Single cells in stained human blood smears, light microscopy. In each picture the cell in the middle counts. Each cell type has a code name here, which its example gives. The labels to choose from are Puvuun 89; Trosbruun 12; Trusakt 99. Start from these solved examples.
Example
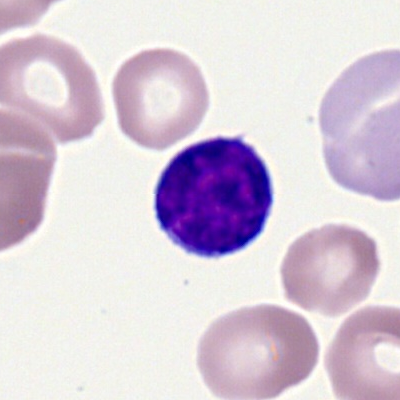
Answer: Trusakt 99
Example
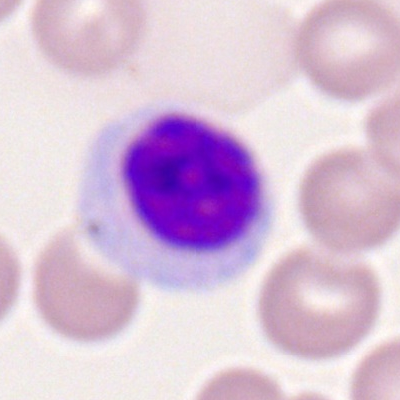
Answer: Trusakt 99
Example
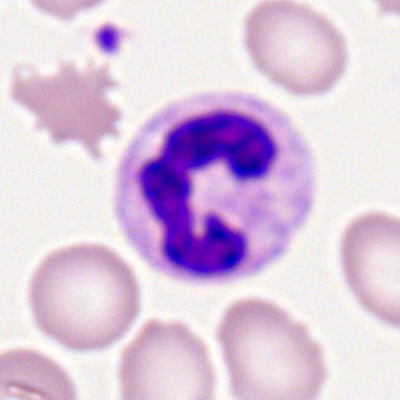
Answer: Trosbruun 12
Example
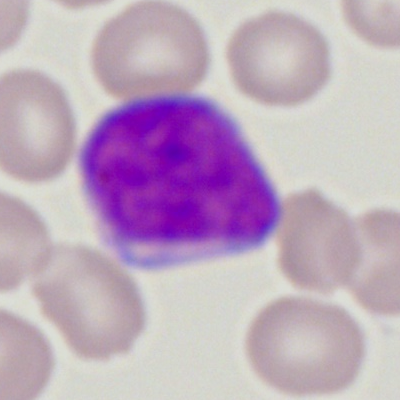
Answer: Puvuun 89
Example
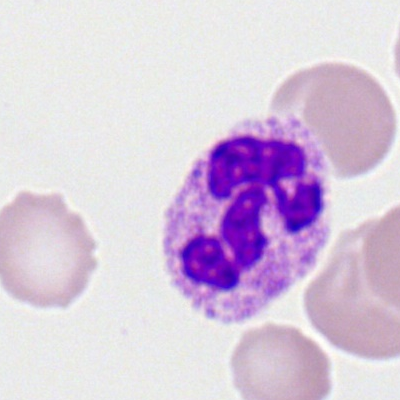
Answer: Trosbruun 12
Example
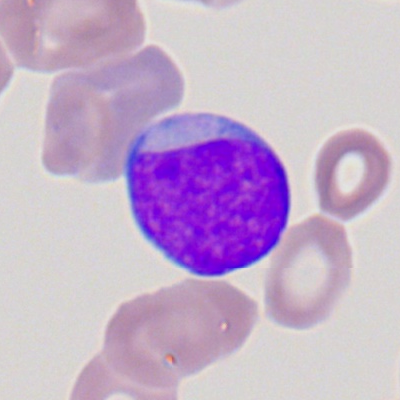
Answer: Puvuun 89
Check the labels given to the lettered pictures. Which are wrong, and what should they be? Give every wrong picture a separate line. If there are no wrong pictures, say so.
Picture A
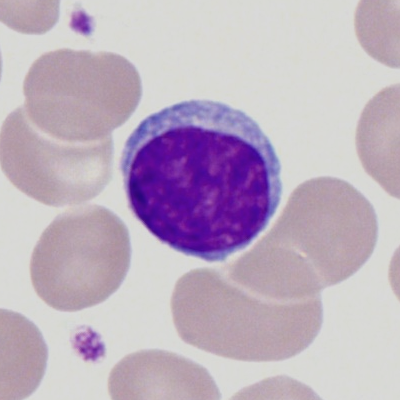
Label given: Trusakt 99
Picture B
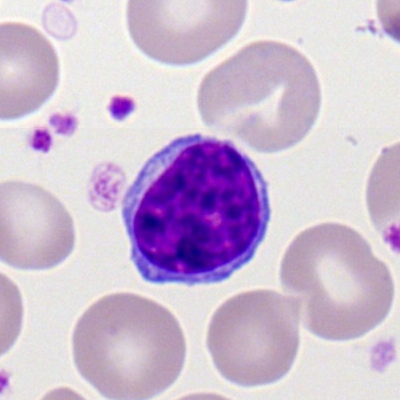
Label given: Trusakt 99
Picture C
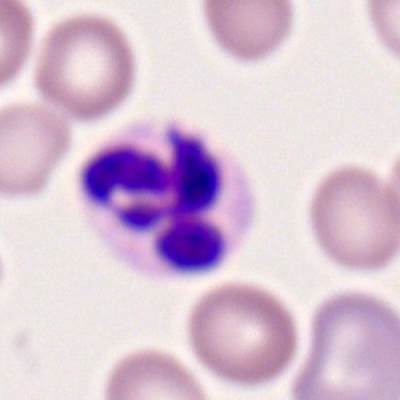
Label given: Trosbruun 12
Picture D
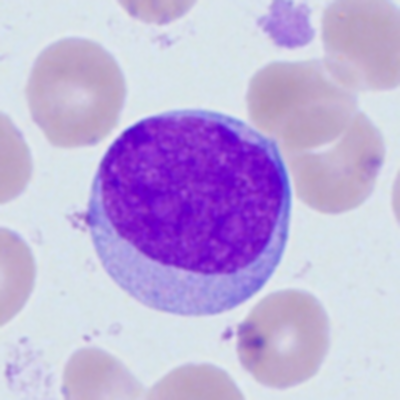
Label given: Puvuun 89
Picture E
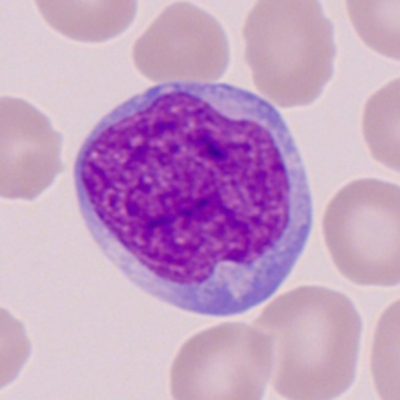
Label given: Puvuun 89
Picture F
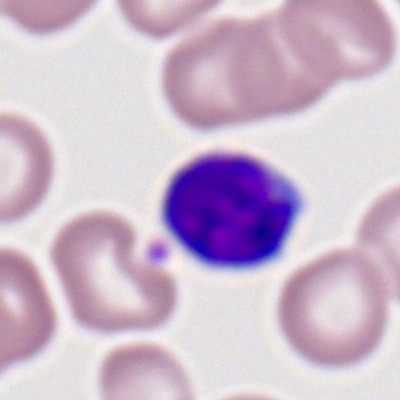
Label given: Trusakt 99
No label is wrong.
